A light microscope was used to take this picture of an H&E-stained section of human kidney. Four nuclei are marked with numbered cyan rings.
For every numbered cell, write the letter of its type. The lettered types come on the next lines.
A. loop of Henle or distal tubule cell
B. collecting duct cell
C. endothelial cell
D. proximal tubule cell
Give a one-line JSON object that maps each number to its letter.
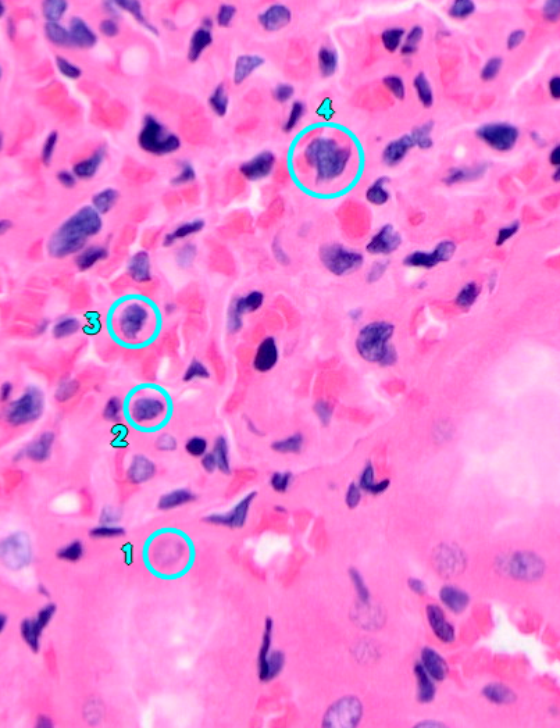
{"1": "D", "2": "C", "3": "C", "4": "C"}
